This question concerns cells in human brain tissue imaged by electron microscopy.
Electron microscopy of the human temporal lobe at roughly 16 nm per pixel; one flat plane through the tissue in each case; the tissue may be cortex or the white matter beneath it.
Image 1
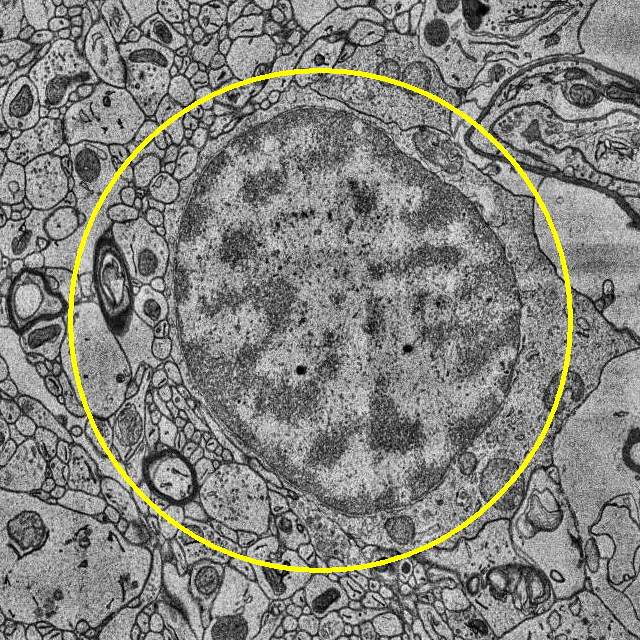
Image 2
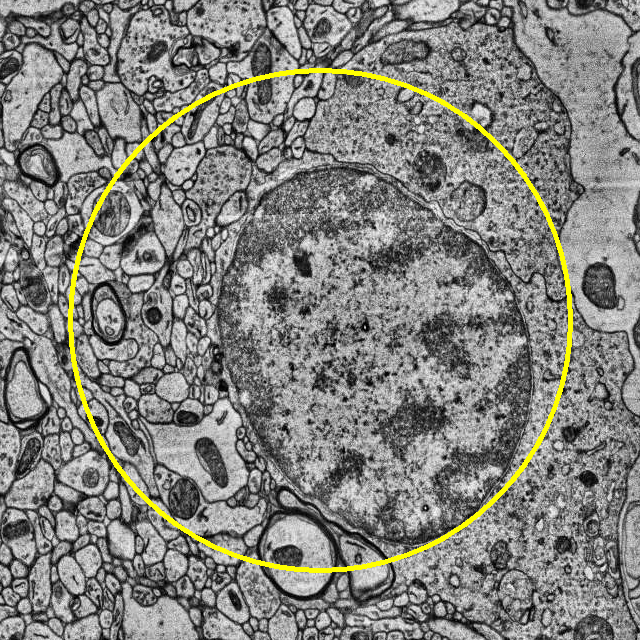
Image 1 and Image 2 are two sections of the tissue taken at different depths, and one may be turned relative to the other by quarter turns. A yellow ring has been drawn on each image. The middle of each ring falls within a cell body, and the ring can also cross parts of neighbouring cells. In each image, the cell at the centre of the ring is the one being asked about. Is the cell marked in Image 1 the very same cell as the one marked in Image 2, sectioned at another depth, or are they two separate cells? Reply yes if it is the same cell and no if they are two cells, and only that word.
yes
